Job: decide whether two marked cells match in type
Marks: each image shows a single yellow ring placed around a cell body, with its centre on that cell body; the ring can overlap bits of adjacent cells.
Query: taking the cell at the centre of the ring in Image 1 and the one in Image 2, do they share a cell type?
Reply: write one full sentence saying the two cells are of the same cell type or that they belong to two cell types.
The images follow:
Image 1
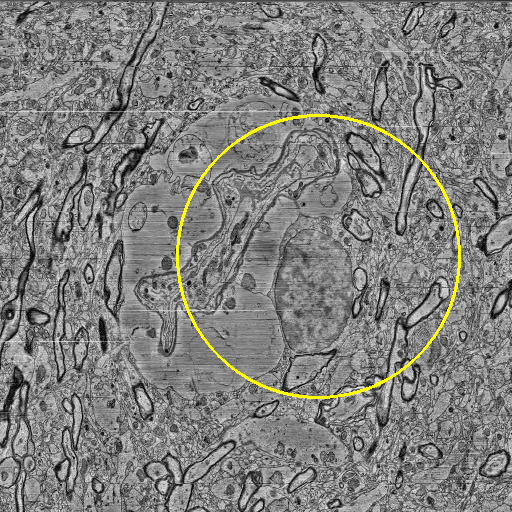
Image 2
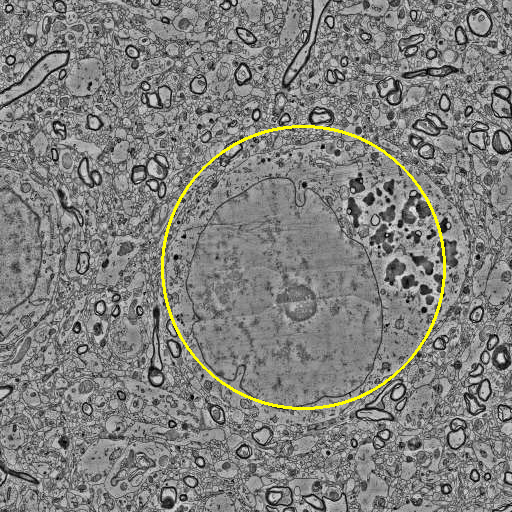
The cells at the ring centres in Image 1 and Image 2 belong to two cell types.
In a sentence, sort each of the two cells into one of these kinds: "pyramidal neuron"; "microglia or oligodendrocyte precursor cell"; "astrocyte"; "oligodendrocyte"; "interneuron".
The first of the two cells is an oligodendrocyte, and the second is a pyramidal neuron.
